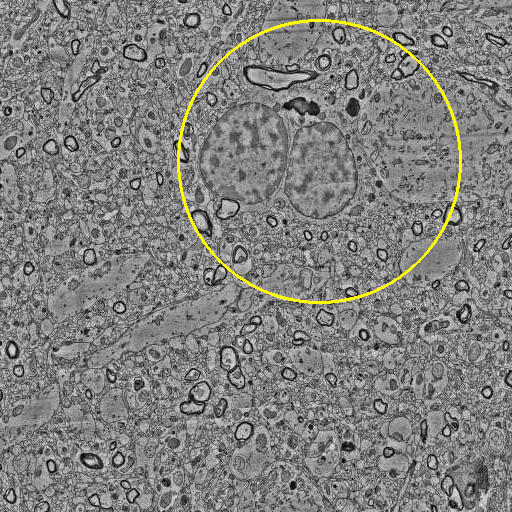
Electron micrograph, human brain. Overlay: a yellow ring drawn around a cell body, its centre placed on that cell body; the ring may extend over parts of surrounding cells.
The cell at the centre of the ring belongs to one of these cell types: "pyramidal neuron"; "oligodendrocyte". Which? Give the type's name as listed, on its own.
oligodendrocyte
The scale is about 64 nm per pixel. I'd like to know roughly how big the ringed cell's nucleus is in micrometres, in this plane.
Roughly 6 by 5 micrometres in this plane, for the nucleus of the ringed cell.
